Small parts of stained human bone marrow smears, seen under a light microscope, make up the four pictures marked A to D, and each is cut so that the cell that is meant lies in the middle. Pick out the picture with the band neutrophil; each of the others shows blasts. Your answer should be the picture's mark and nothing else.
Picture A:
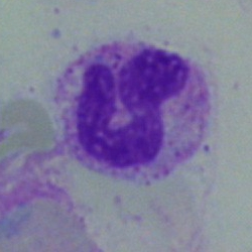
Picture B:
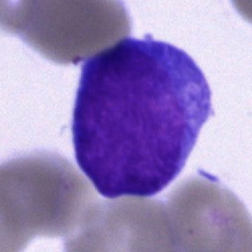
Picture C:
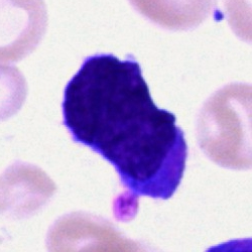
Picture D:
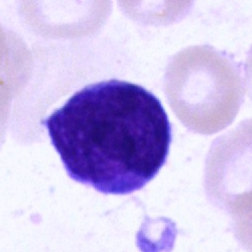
A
